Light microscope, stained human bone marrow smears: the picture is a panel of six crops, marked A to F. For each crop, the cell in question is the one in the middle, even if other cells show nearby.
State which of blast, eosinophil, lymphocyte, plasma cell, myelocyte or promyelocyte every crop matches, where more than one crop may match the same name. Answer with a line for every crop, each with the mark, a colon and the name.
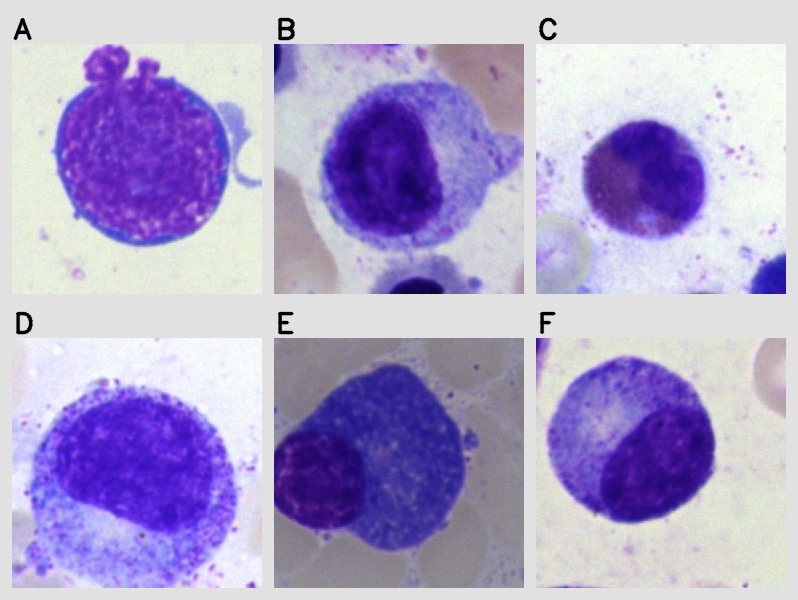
A: blast
B: myelocyte
C: eosinophil
D: promyelocyte
E: plasma cell
F: promyelocyte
